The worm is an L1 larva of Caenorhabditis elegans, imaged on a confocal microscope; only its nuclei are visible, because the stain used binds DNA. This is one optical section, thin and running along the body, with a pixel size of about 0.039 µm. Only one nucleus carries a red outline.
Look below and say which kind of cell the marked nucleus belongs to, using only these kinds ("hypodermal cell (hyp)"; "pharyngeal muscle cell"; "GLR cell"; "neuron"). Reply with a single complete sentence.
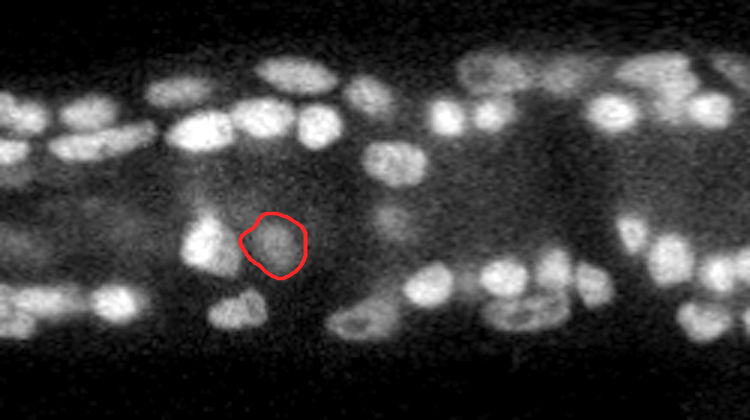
This nucleus is from a pharyngeal muscle cell.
